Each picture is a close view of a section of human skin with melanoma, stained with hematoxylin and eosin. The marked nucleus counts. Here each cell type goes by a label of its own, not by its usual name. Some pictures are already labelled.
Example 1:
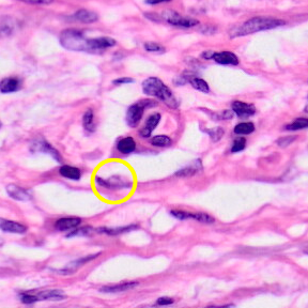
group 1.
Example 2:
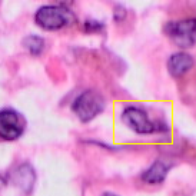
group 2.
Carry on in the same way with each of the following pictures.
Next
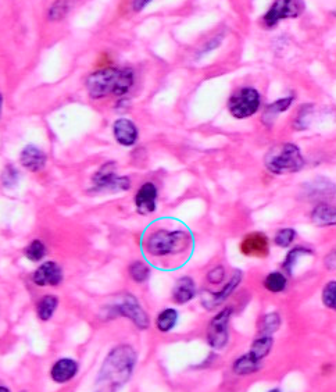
group 2.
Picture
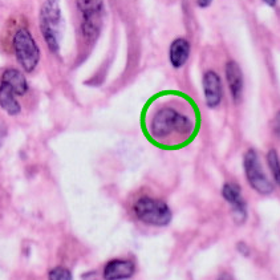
group 2.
